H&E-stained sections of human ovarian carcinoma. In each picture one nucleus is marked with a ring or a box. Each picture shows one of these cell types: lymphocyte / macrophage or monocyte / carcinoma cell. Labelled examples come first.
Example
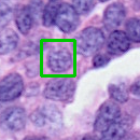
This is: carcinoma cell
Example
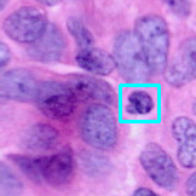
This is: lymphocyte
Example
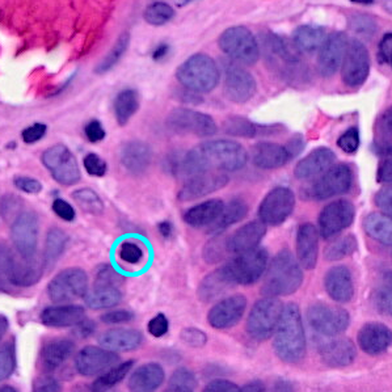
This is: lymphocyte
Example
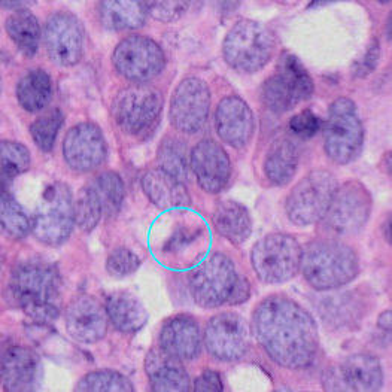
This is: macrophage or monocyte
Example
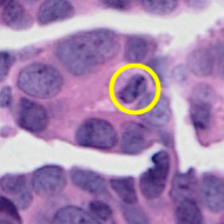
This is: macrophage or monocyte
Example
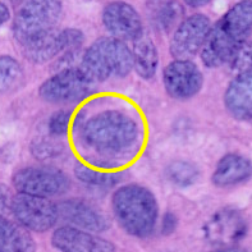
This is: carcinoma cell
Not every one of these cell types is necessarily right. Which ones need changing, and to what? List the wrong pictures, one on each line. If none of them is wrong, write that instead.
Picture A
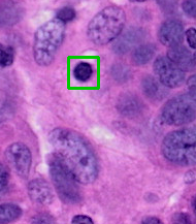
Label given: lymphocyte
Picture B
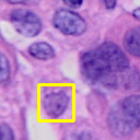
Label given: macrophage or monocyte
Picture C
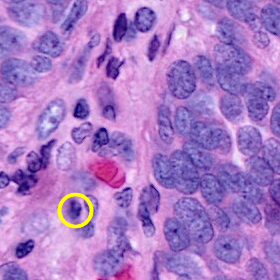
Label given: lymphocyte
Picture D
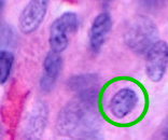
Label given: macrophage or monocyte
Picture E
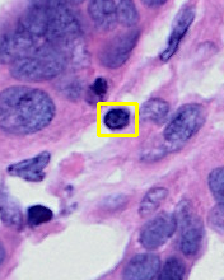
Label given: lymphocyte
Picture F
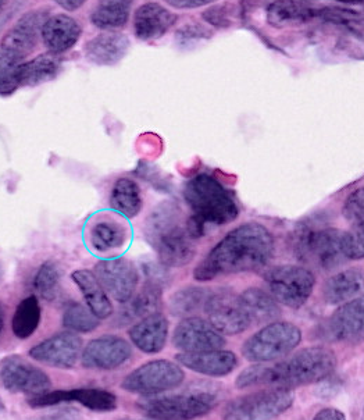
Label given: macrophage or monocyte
All labels are correct.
